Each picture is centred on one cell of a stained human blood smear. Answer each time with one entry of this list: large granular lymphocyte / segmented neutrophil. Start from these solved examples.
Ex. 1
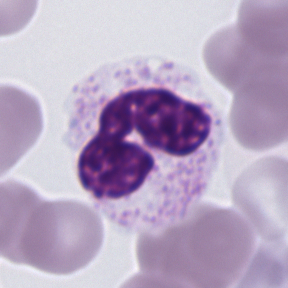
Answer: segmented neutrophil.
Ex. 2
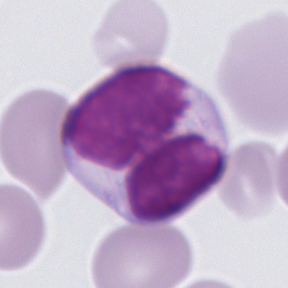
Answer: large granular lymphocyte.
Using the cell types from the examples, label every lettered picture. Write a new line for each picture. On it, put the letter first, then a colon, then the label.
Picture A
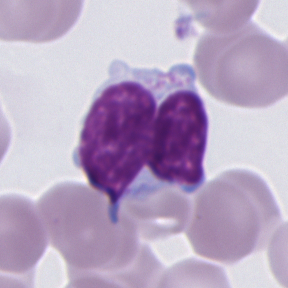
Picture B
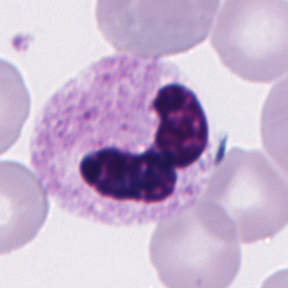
A: large granular lymphocyte.
B: segmented neutrophil.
